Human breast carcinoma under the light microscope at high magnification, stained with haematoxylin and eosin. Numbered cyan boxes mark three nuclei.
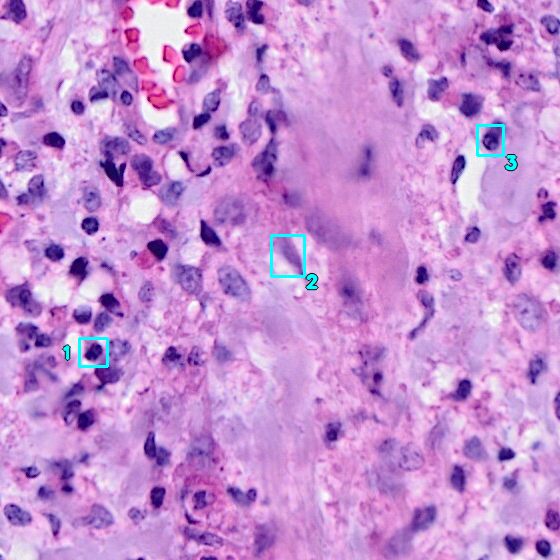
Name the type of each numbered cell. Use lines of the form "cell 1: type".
cell 1: lymphocyte
cell 2: fibroblast
cell 3: lymphocyte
